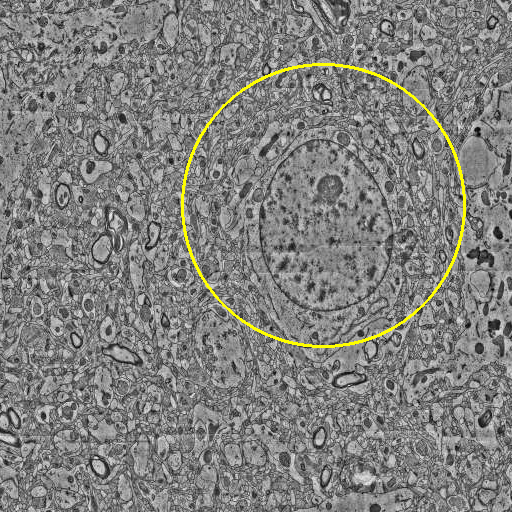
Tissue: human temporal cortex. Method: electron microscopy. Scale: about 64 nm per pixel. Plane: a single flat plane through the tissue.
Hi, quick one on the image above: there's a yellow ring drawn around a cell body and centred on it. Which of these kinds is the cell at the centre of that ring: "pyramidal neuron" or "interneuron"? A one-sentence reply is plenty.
The cell at the centre of the ring is a pyramidal neuron.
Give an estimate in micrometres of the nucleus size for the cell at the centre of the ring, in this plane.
The ringed cell's nucleus is about 11 micrometres long and 8 micrometres wide in this plane.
